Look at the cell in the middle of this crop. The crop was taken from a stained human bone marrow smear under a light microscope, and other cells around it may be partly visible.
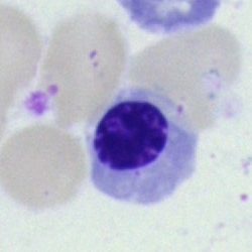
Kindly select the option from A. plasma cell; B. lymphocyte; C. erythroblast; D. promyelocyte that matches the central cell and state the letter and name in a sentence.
The correct choice is option C, which identifies the middle cell as an erythroblast.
